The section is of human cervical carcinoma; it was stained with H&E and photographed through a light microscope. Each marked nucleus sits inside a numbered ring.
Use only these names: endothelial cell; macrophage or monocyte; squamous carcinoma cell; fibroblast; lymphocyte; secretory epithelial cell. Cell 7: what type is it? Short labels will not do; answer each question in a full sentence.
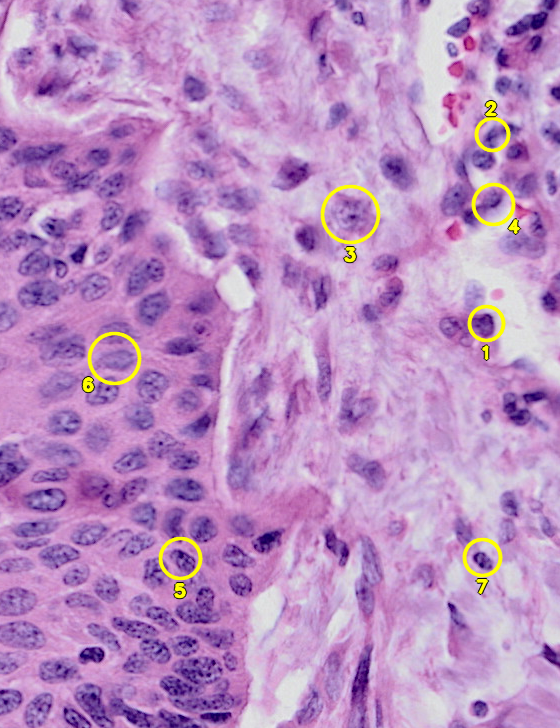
What the number 7 marks in this field is a lymphocyte.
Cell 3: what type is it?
Cell 3 of the marked set is a fibroblast.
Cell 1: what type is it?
The cell identified by number 1 is an endothelial cell.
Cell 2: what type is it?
The expected answer is that cell 2 is a lymphocyte.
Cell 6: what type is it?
Cell 6 in the field is a squamous carcinoma cell.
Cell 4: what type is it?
The marked cell bearing number 4 is an endothelial cell.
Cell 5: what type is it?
The nucleus labeled 5 belongs to a squamous carcinoma cell.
